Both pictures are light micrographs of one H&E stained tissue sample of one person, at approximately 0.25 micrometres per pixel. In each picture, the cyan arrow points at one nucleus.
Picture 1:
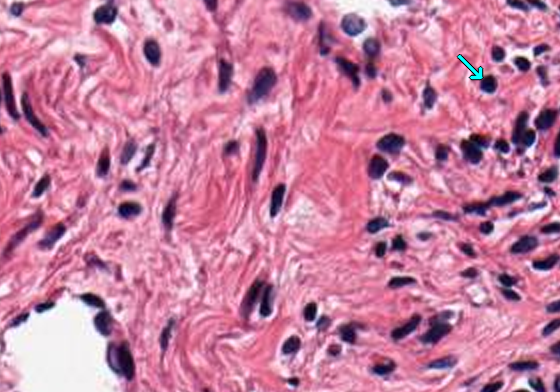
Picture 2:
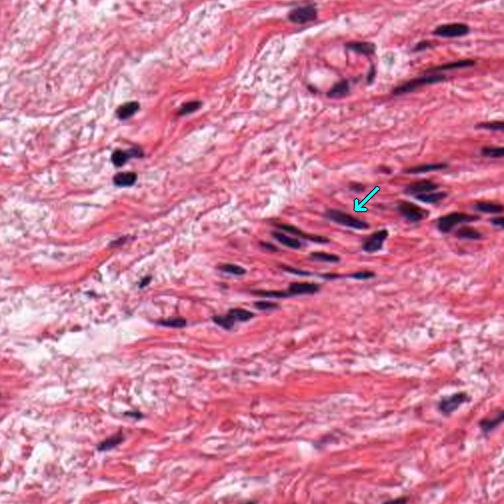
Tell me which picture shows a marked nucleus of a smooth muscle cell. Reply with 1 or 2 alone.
2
